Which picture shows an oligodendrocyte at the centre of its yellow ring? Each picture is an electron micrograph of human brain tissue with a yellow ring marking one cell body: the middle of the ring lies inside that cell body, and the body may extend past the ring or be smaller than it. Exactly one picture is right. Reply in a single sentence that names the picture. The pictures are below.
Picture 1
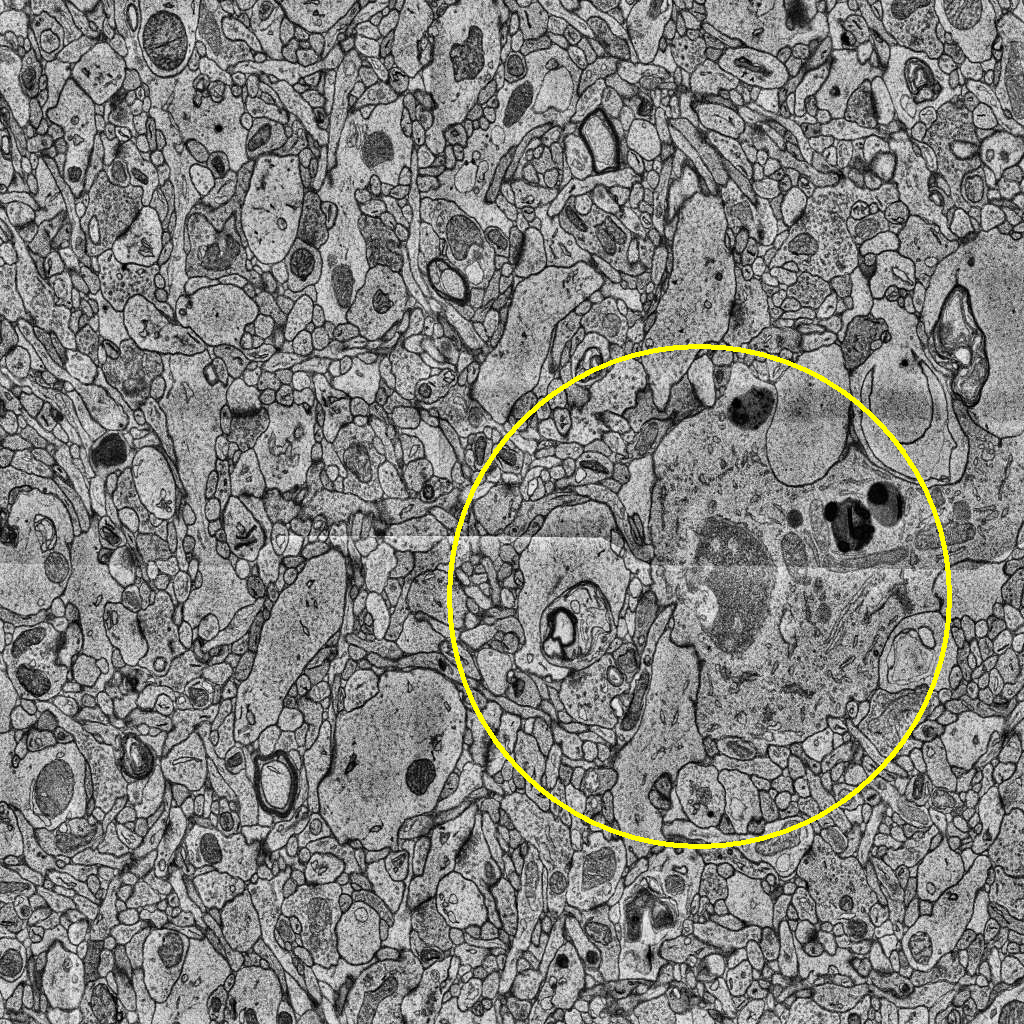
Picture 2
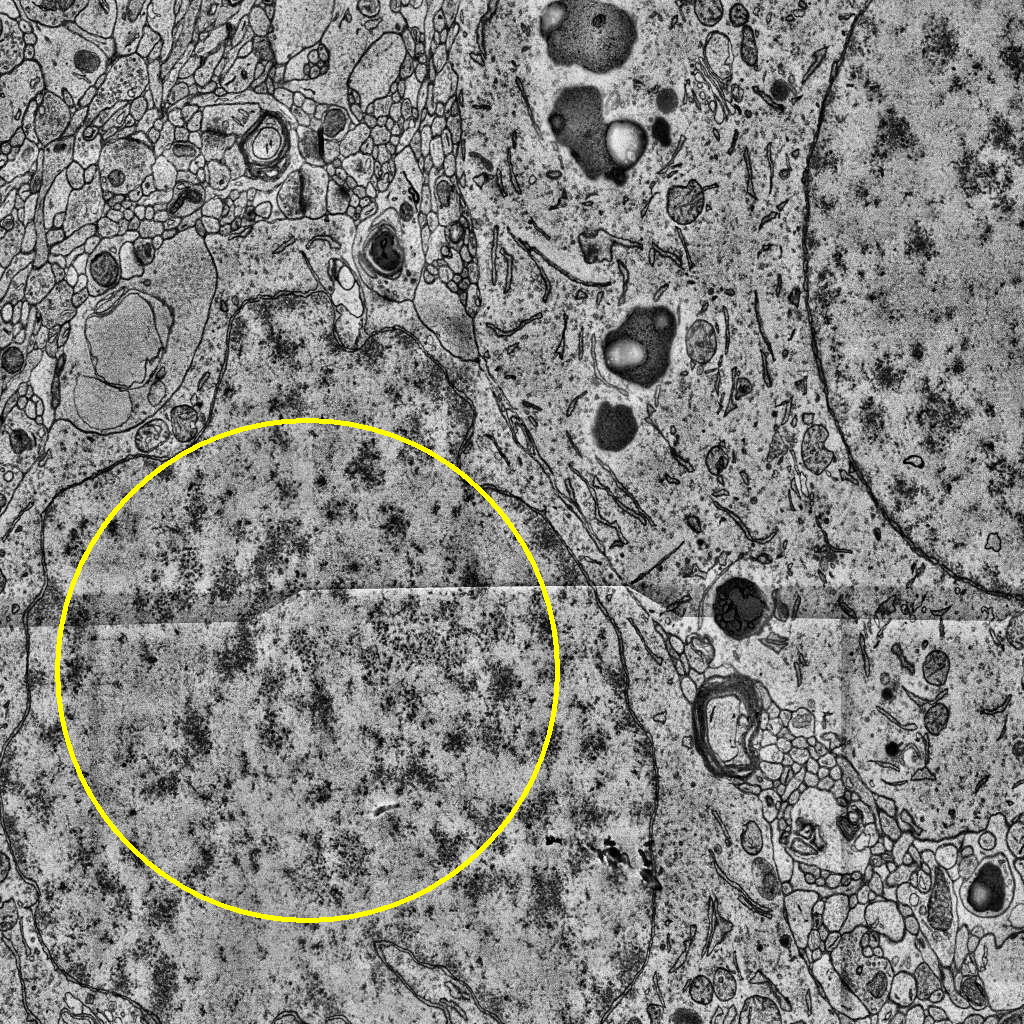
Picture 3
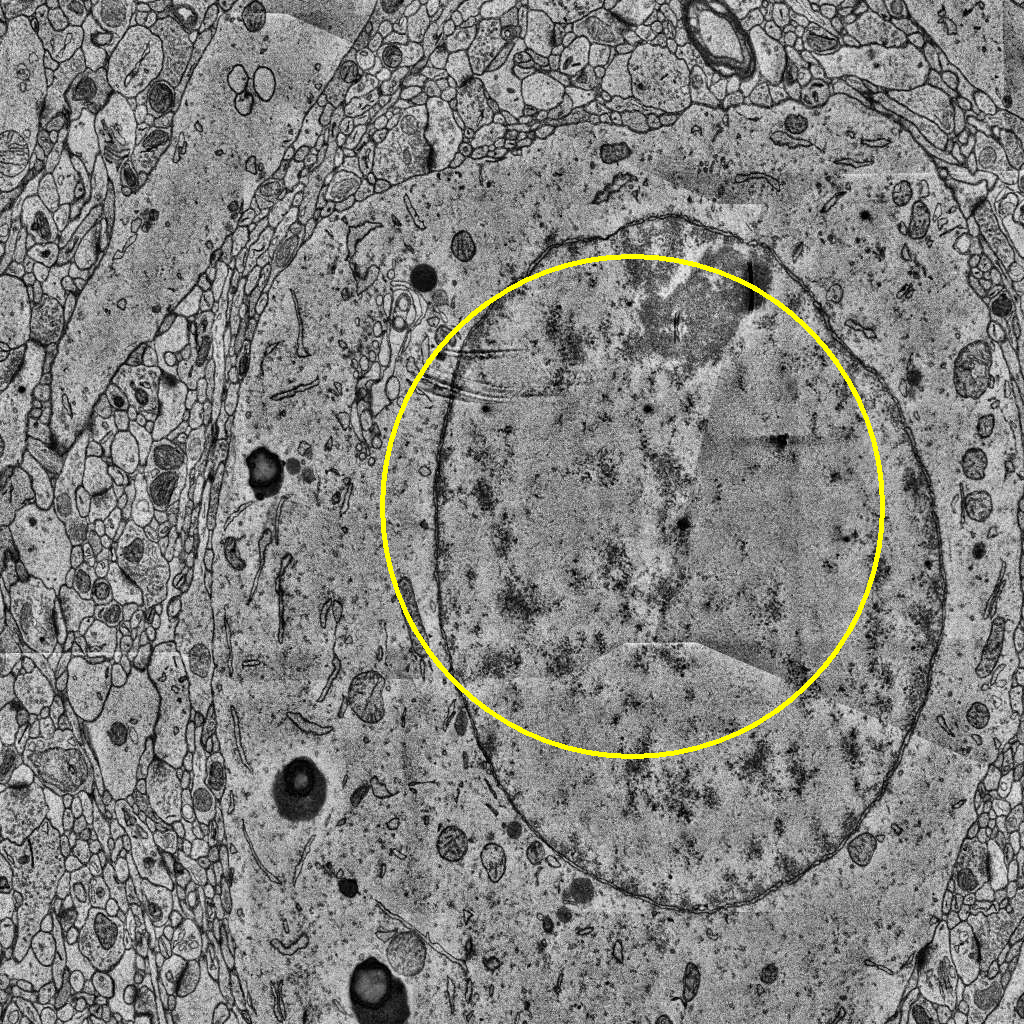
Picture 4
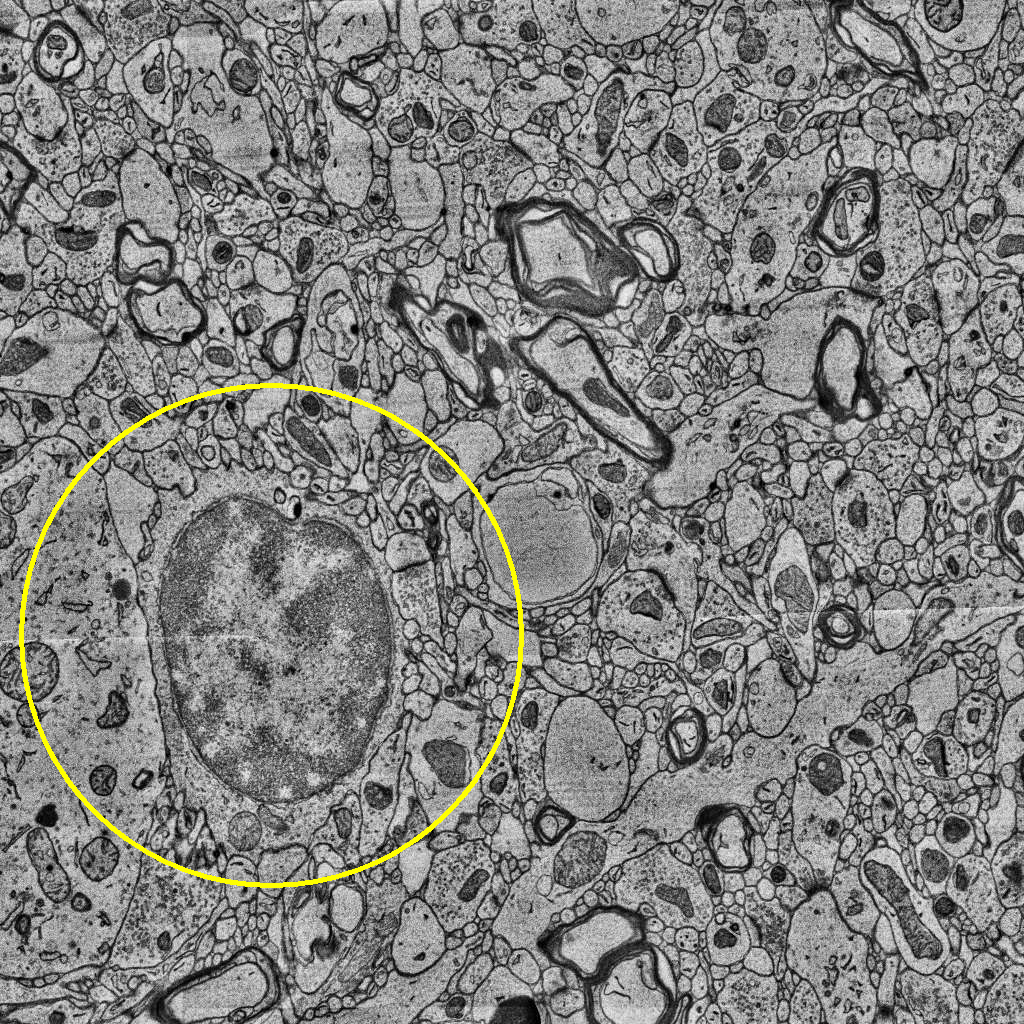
Picture 4 shows it.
